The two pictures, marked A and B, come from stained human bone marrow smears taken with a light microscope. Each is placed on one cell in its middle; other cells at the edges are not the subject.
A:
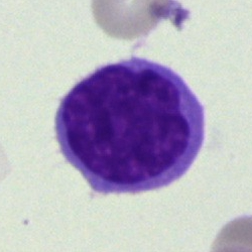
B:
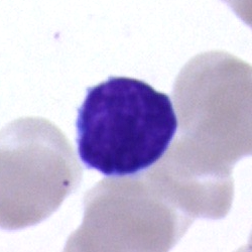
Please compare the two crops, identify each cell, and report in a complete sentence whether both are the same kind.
No, crop A presents a blast; crop B presents a lymphocyte.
